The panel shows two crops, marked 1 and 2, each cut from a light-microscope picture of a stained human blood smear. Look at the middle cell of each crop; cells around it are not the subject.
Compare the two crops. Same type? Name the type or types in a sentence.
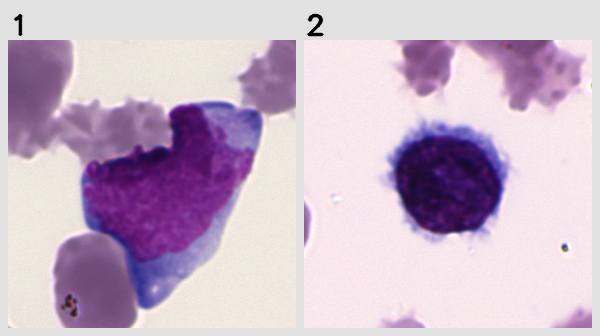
No, crop 1 displays a blast, and crop 2 displays a hairy cell.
